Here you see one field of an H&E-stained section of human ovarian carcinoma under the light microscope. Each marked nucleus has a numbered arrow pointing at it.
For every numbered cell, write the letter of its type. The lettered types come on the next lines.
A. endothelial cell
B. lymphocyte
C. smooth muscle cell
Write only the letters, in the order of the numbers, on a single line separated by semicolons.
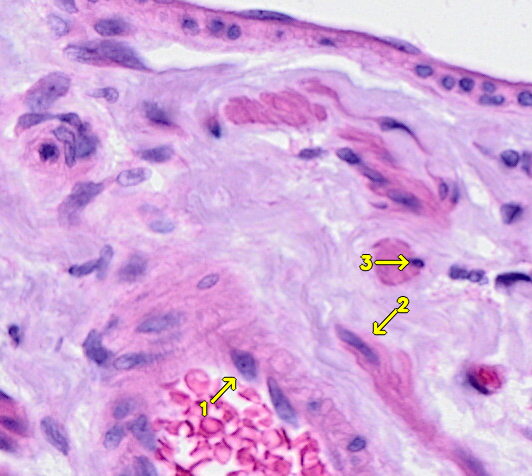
A; C; C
